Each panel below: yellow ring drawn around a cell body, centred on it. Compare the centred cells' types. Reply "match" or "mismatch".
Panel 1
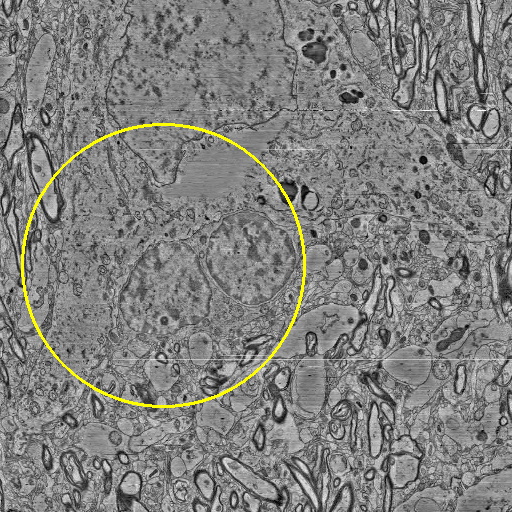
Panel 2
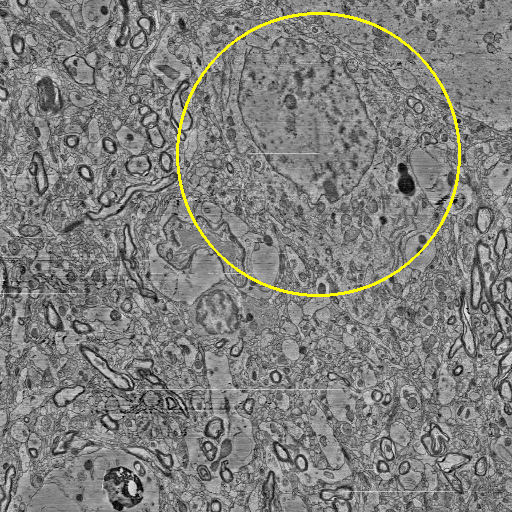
mismatch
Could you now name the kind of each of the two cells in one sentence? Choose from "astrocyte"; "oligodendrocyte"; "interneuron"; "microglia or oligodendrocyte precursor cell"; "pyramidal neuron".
The first ring encloses an oligodendrocyte; the second ring encloses an interneuron.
